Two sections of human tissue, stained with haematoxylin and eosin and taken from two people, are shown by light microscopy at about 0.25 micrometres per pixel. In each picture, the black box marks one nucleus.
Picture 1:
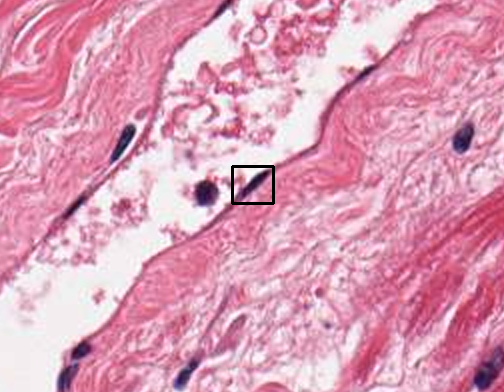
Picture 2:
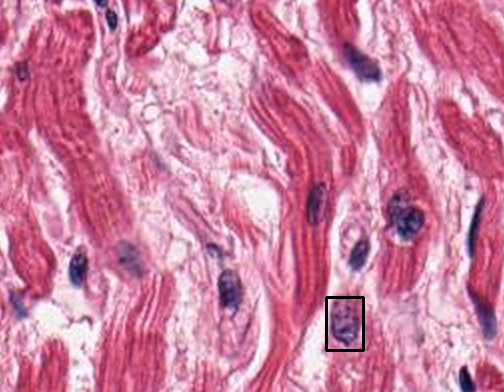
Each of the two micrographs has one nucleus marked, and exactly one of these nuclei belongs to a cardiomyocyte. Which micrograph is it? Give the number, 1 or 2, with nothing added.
2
